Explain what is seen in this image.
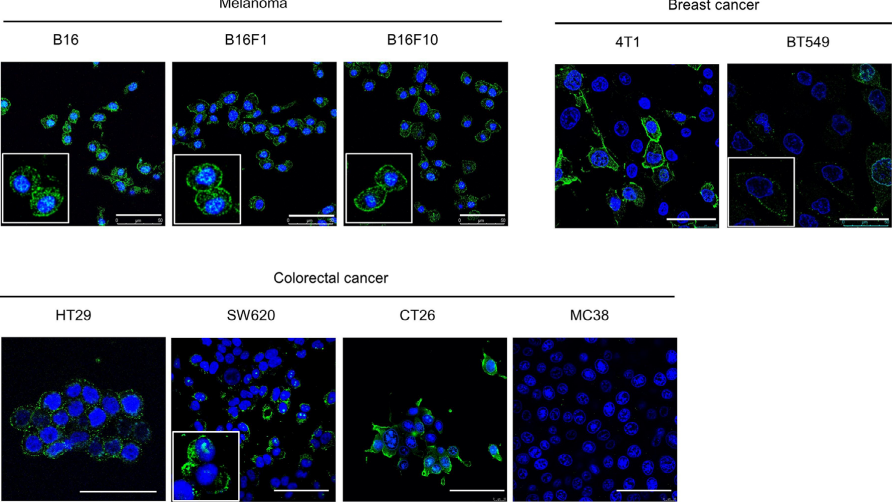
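The enlarged insets show this best: the green lies at the rim of the cell, outside the blue nucleus, rather than filling the cytoplasm. Some cells sit singly and rounded, while others crowd together in clusters where green lines mark the borders between them. In one field, with densely packed cells, the blue nuclei are seen with almost no green at all.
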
